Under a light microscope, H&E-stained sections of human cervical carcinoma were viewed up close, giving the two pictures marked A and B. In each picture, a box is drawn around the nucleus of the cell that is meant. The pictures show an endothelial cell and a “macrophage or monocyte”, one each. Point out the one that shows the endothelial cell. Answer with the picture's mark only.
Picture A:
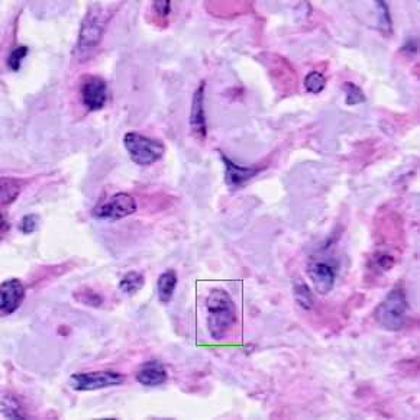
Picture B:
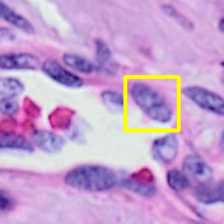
B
